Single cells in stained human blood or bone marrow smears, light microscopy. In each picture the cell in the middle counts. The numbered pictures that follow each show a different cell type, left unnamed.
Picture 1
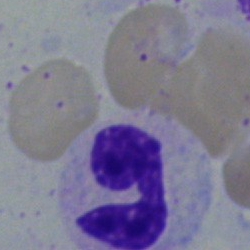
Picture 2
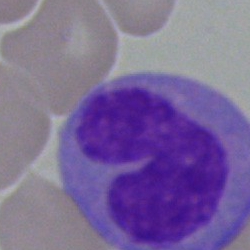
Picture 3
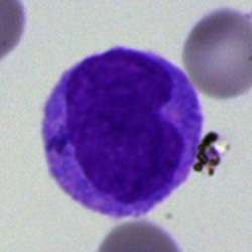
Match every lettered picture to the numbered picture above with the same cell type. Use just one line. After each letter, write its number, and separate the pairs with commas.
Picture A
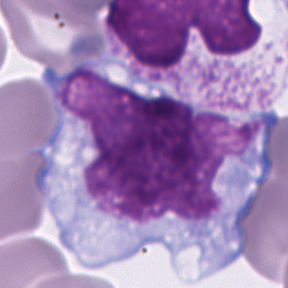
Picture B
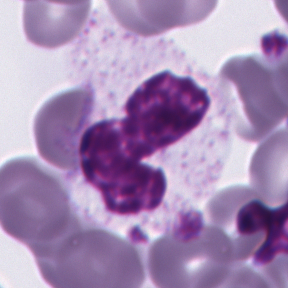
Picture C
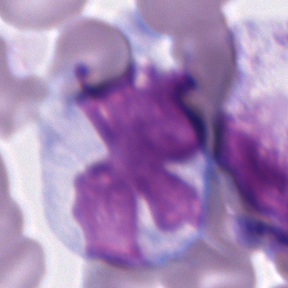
A 2, B 1, C 2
